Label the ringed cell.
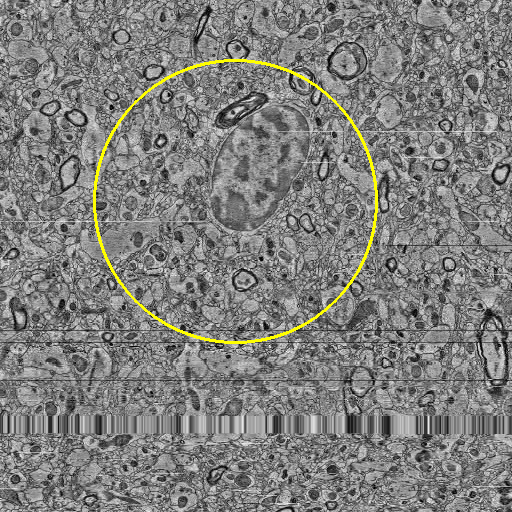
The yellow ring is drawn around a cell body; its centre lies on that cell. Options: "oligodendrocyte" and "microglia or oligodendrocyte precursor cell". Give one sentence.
The ringed cell is a microglial cell or oligodendrocyte precursor cell.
